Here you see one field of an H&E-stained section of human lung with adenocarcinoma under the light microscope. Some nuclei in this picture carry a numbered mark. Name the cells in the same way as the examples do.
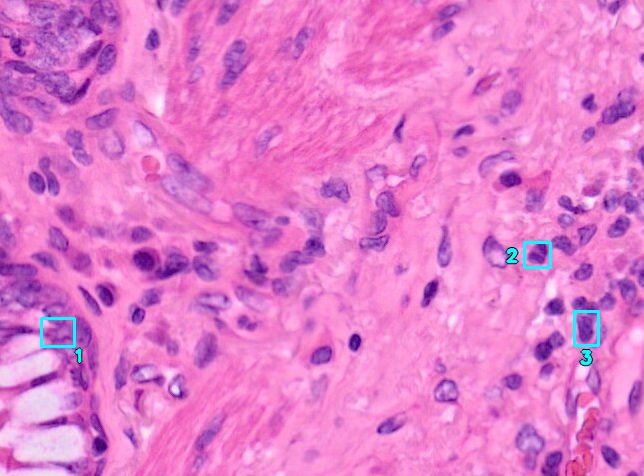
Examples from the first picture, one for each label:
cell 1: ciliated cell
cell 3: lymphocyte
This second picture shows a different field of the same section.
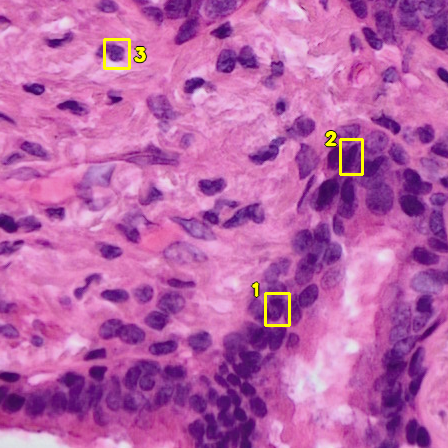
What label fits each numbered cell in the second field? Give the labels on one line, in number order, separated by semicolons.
ciliated cell; ciliated cell; lymphocyte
